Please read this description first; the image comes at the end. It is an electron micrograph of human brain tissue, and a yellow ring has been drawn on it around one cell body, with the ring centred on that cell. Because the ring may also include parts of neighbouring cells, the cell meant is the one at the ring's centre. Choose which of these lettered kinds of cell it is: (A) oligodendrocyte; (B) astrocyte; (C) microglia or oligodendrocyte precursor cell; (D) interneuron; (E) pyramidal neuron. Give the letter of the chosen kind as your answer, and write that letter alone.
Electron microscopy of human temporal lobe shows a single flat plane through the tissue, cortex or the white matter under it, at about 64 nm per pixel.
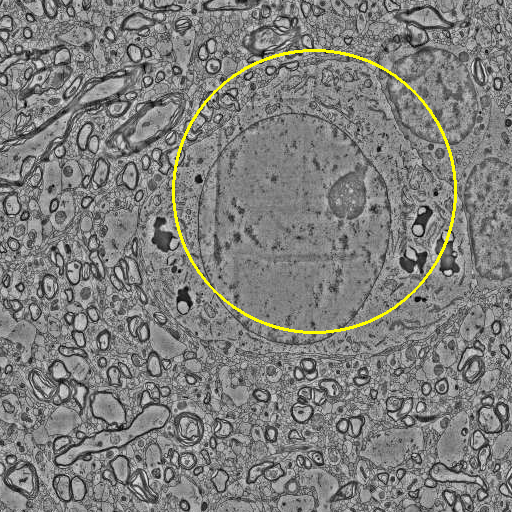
E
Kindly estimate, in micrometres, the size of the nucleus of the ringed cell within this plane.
In this plane, roughly 15 by 12 micrometres.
